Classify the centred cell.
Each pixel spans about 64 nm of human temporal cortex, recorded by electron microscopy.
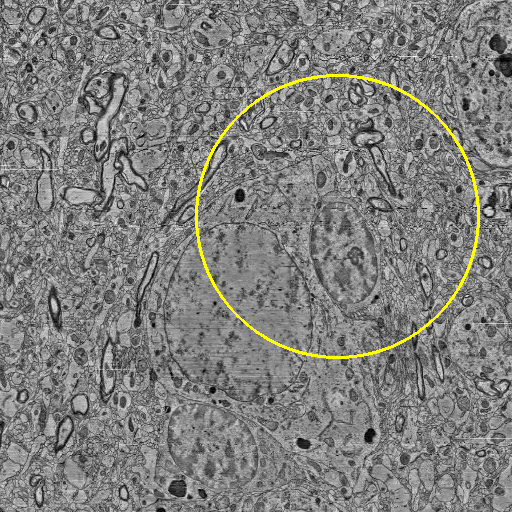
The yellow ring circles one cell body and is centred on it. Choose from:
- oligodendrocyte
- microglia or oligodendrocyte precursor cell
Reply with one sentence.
The ring is centred on an oligodendrocyte.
